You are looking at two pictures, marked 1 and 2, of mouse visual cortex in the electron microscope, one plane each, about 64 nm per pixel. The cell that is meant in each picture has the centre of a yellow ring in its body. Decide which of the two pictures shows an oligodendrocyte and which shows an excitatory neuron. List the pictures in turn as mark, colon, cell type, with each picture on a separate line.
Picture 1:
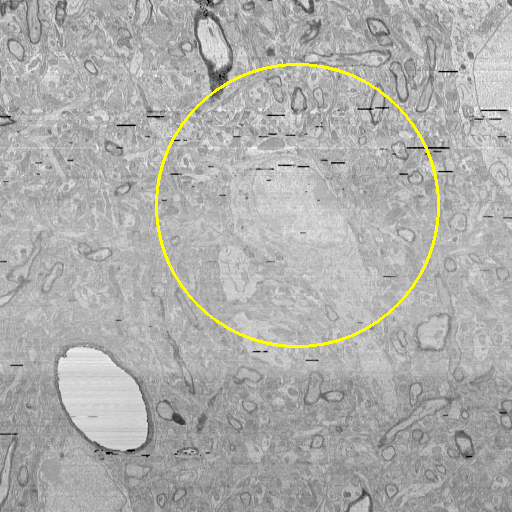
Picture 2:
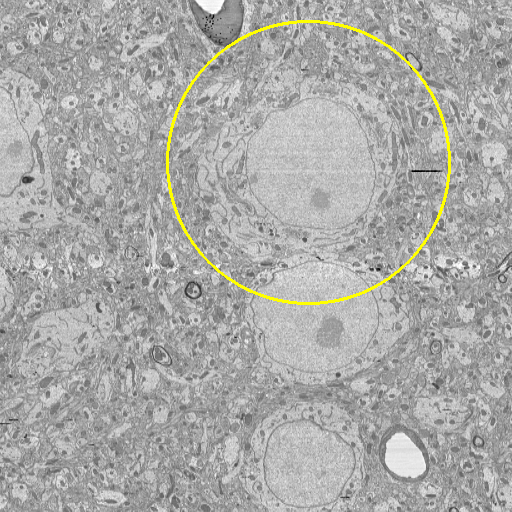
1: oligodendrocyte
2: excitatory neuron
